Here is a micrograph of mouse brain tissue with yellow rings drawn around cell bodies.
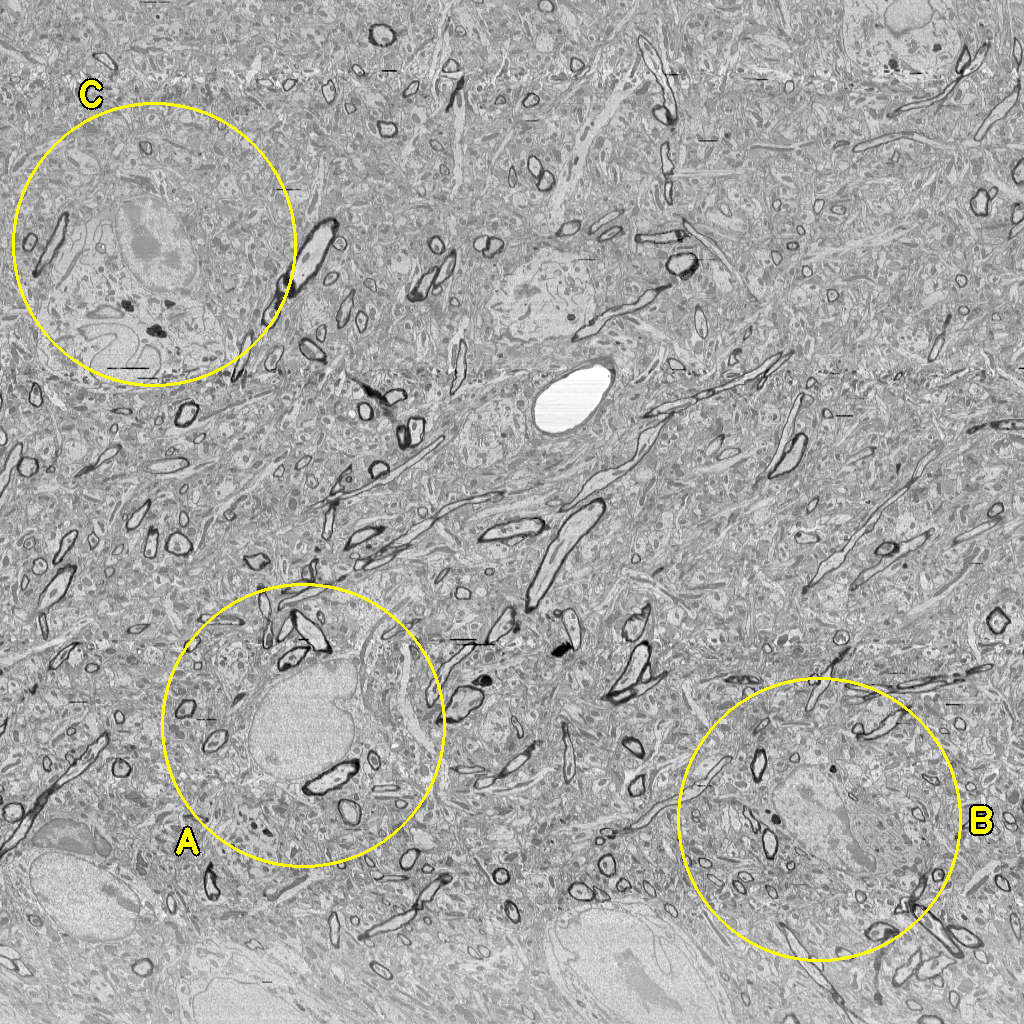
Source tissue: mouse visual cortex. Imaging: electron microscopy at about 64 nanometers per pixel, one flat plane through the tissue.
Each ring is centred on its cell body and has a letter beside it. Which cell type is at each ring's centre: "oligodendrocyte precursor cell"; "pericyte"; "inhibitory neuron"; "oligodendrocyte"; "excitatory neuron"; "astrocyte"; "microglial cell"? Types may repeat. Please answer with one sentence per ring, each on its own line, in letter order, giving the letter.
Ring A shows an astrocyte at its centre.
Ring B shows an oligodendrocyte at its centre.
Ring C shows an oligodendrocyte at its centre.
